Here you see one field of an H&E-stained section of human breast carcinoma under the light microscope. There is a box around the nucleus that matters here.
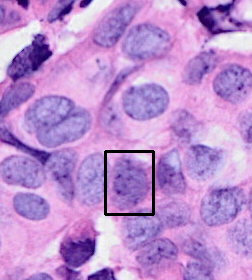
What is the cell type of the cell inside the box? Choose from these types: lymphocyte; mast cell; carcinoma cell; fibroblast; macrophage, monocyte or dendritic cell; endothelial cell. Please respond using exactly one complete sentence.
Assigned to a cell type, the cell inside the box is a carcinoma cell.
